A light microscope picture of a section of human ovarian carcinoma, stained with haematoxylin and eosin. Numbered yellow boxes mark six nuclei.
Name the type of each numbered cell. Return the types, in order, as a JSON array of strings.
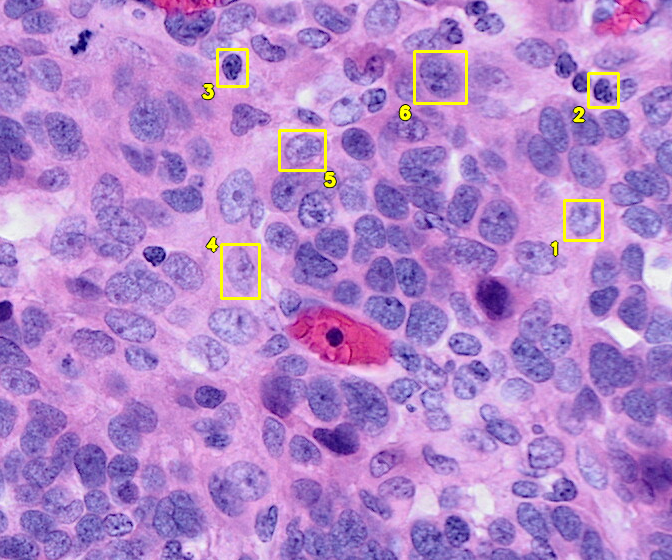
["fibroblast", "lymphocyte", "lymphocyte", "fibroblast", "carcinoma cell", "carcinoma cell"]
